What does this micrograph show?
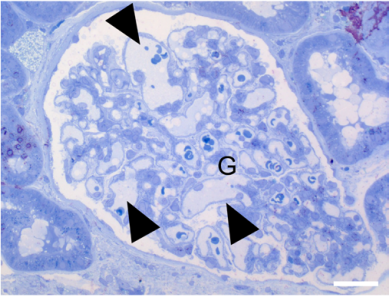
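A single glomerulus fills the middle of this blue-stained semithin section, its capillary tuft lying free within a pale, empty Bowman's space and bounded by a thin capsule. Within the tuft the capillary loops are lined by thin walls, and several loops are markedly wide and open, much broader than the rest. Dark nuclei of cells of the tuft are scattered between the loops. The picture is that of a glomerulus with distended capillaries.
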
